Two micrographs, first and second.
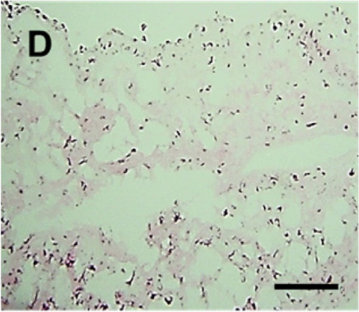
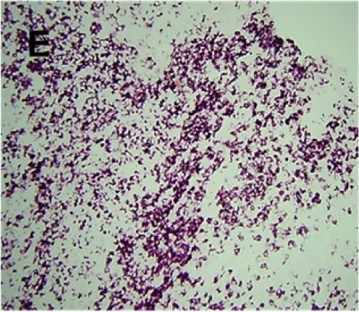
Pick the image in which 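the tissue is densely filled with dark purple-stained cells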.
The second image.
